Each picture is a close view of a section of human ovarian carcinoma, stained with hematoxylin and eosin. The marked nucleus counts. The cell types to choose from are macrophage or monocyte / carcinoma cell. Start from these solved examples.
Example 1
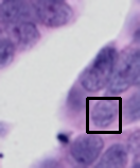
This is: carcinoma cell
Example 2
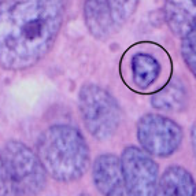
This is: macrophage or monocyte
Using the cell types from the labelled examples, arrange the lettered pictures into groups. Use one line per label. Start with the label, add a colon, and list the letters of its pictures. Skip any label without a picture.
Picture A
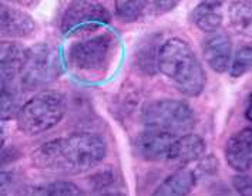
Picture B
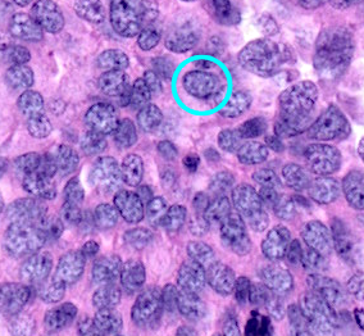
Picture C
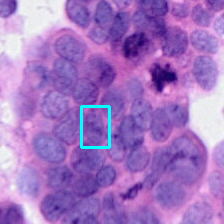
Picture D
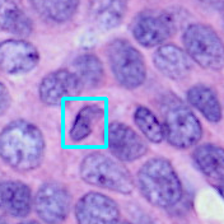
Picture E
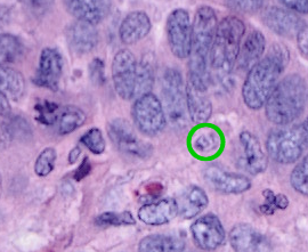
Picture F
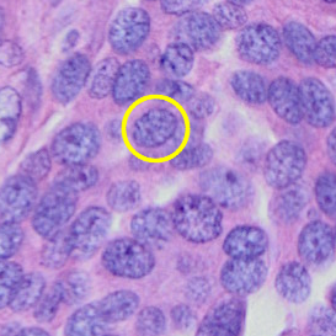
macrophage or monocyte: D, E
carcinoma cell: A, B, C, F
